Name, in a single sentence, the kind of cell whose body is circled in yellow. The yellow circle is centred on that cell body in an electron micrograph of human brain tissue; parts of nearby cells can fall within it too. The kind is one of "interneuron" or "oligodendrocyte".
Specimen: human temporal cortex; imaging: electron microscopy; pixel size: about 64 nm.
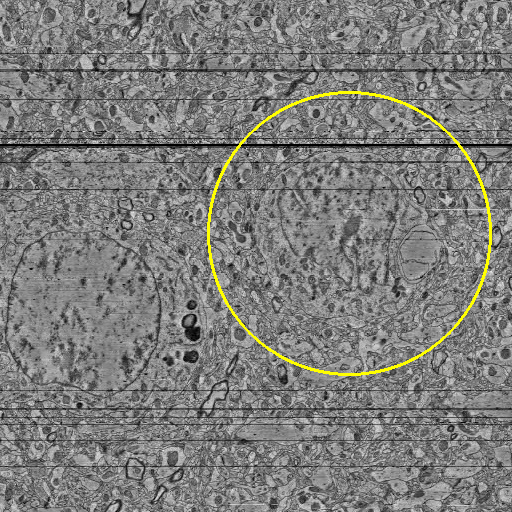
The circled cell body belongs to an interneuron.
